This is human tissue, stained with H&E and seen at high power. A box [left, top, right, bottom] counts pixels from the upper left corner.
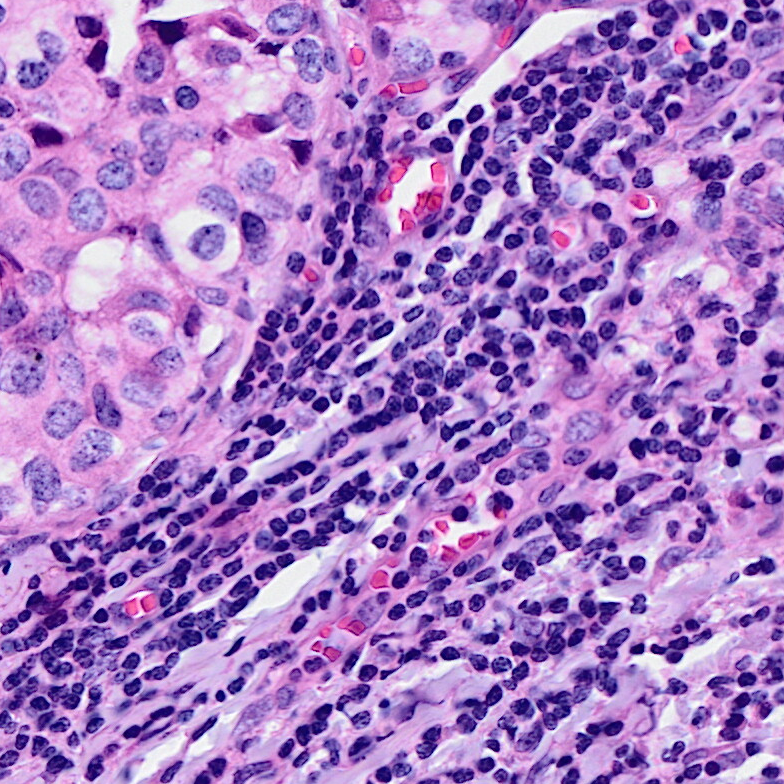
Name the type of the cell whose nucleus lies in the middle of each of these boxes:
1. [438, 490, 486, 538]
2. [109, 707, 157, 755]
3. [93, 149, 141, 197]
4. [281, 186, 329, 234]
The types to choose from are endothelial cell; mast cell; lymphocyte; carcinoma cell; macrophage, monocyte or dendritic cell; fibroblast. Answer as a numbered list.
1. lymphocyte
2. lymphocyte
3. carcinoma cell
4. lymphocyte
